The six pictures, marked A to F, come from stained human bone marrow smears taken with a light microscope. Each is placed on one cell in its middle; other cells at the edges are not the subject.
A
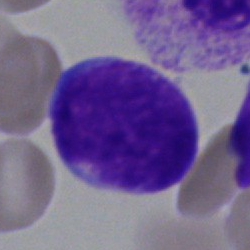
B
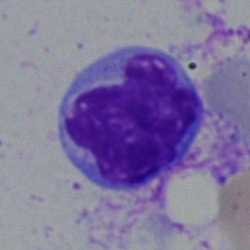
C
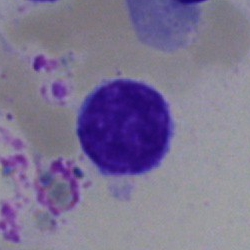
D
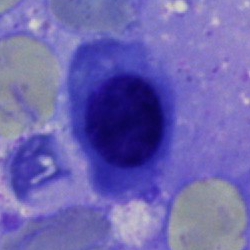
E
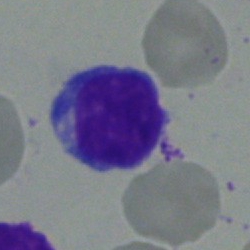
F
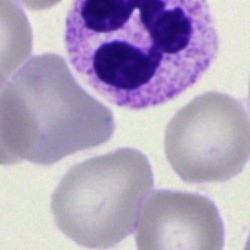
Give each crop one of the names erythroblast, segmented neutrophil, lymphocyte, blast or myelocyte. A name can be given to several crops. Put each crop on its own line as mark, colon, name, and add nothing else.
A: blast
B: lymphocyte
C: lymphocyte
D: erythroblast
E: lymphocyte
F: segmented neutrophil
